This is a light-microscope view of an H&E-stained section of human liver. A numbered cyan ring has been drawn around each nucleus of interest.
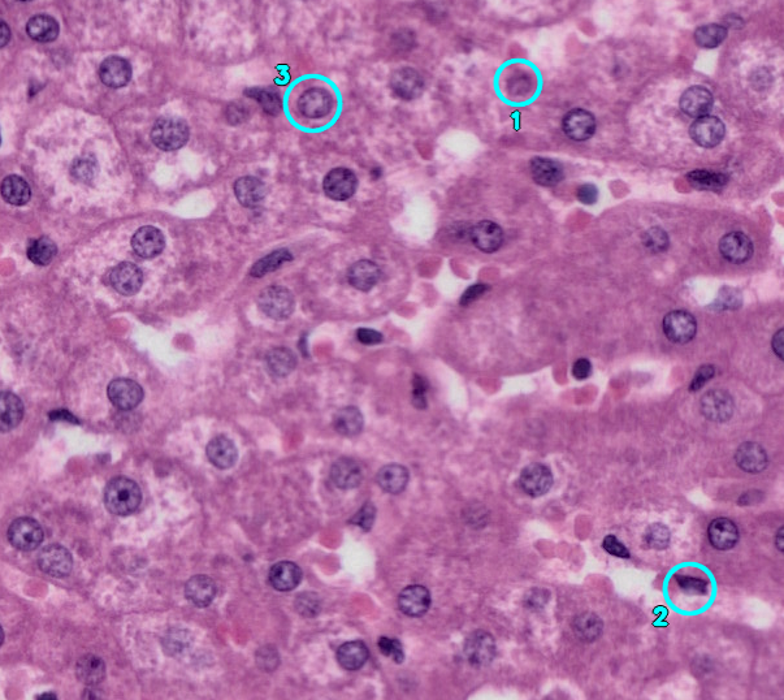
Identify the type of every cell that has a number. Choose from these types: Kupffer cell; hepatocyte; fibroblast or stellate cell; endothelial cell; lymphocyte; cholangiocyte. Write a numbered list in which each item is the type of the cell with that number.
1. hepatocyte
2. endothelial cell
3. hepatocyte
